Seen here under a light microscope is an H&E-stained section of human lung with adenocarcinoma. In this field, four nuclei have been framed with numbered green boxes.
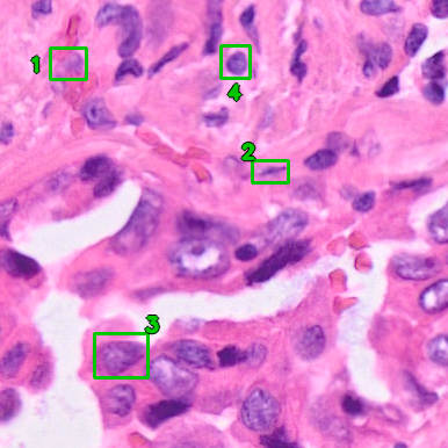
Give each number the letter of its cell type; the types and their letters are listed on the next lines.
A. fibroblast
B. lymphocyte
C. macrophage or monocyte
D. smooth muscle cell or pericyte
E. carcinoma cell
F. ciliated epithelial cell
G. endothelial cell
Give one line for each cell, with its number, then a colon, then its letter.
1: G
2: A
3: E
4: B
